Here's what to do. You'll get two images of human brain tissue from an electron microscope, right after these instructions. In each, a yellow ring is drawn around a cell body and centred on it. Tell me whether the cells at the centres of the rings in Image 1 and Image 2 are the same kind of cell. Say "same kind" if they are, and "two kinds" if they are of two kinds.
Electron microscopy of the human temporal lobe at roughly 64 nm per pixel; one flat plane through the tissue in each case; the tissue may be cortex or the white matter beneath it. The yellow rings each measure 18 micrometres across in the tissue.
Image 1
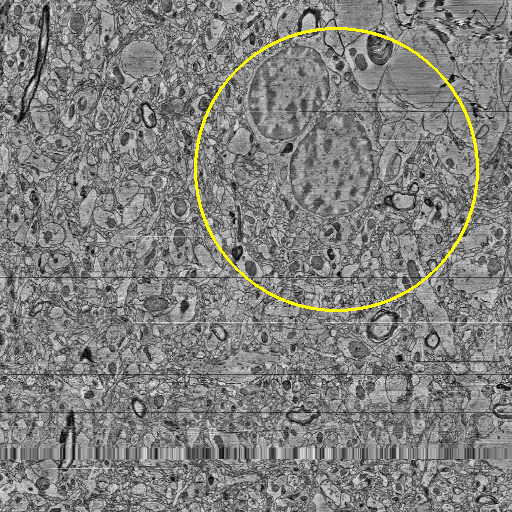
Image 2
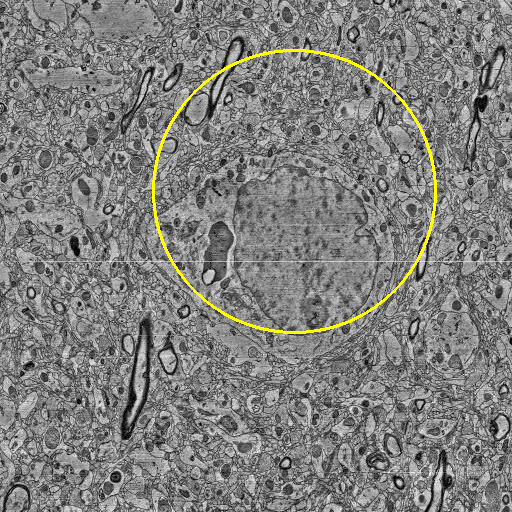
two kinds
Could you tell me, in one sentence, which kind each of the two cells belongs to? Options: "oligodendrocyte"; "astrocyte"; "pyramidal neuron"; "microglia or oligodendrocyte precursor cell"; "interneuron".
At the centre of the first ring sits an oligodendrocyte, and at the centre of the second sits an interneuron.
